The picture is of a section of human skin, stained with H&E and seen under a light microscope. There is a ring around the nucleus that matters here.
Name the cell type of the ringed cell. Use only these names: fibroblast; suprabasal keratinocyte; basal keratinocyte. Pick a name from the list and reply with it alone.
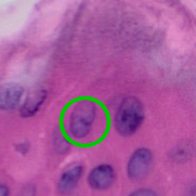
suprabasal keratinocyte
